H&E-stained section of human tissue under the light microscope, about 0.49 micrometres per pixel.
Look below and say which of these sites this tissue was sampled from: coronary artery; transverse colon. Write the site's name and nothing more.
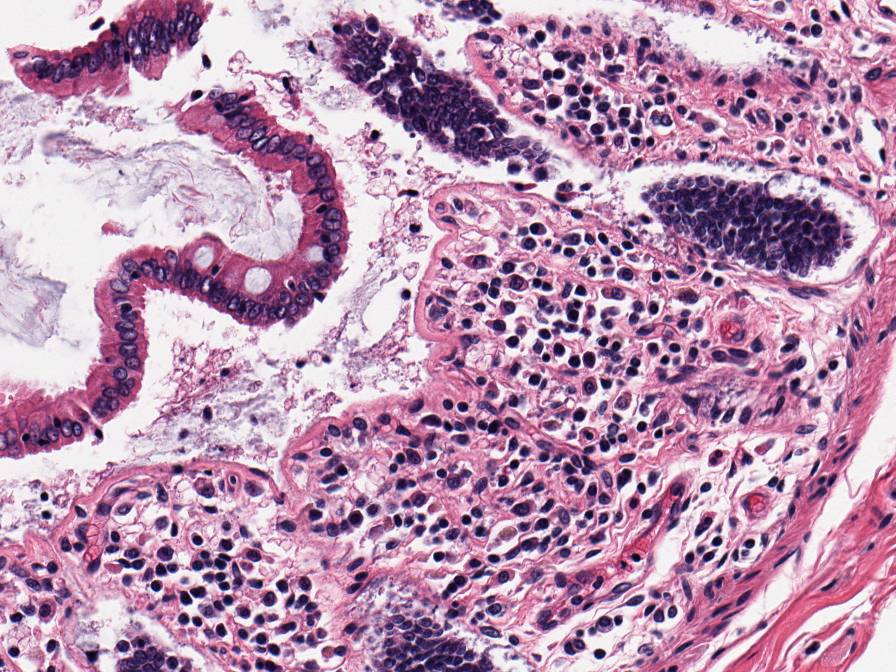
transverse colon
